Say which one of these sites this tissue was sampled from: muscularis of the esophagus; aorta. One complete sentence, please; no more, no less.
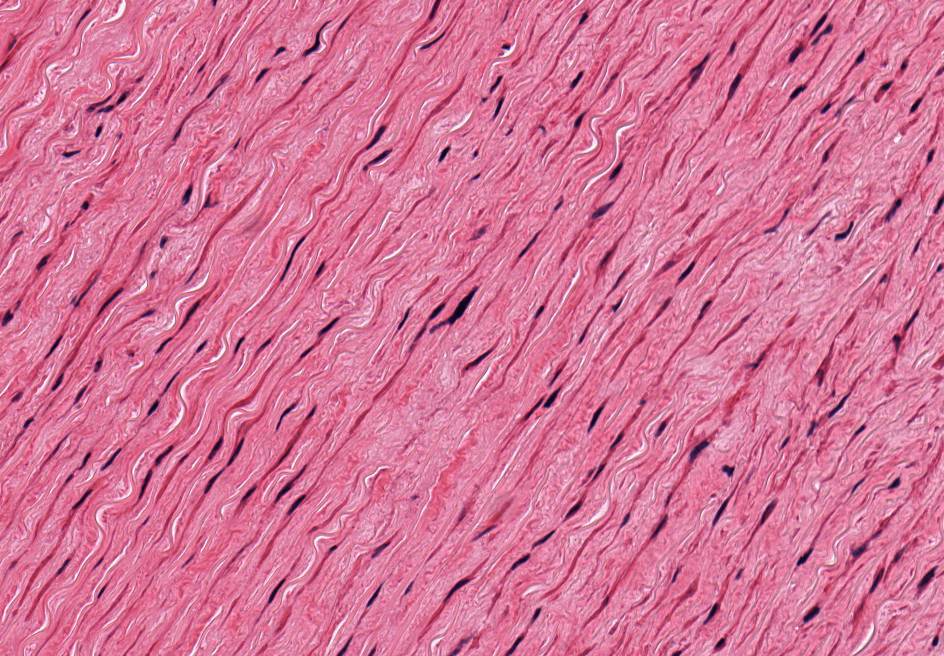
This section of tissue was taken from the aorta.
